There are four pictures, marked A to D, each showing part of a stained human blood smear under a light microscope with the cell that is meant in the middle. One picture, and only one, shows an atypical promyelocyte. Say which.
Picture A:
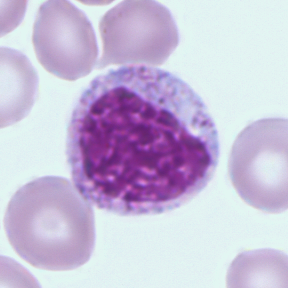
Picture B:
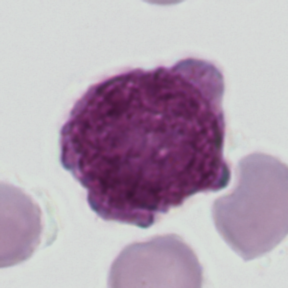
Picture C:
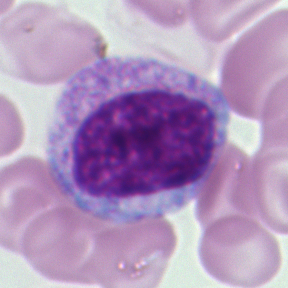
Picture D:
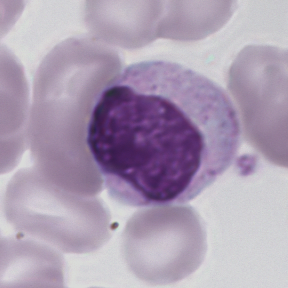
B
